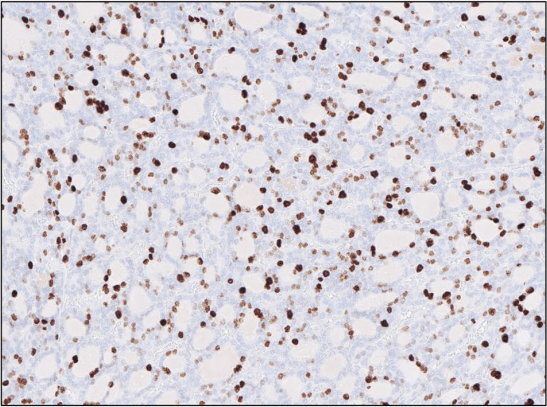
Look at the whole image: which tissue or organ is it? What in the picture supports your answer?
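Small round follicles filled with pale homogeneous material. The answer: thyroid.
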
